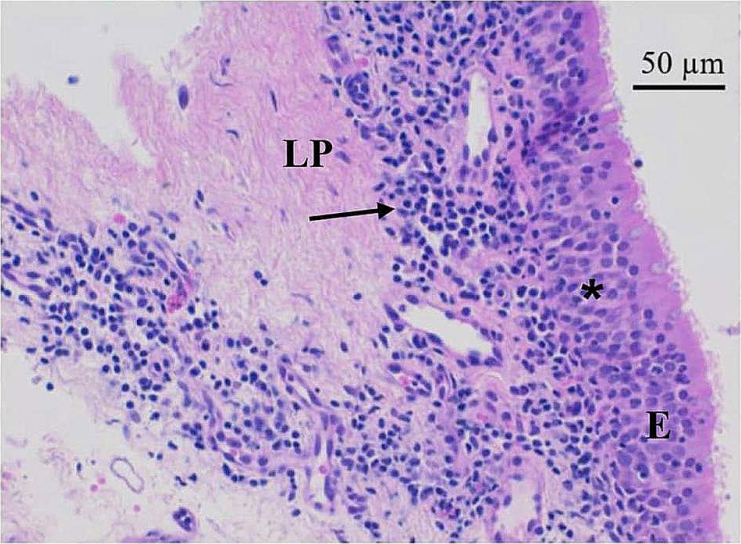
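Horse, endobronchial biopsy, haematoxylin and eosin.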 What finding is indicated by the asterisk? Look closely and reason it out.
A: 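The surface epithelium is many cell layers thick. Nuclei are crowded throughout the thickened epithelial layer. The answer: epithelial hyperplasia.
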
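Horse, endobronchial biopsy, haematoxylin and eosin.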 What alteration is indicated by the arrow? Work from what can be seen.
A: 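Dense clusters of small round dark nuclei lie in the connective tissue beneath the epithelium. The crowded small cells contrast with the sparse pink fibrous stroma beside them.
Hence: inflammatory cell infiltrate.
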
